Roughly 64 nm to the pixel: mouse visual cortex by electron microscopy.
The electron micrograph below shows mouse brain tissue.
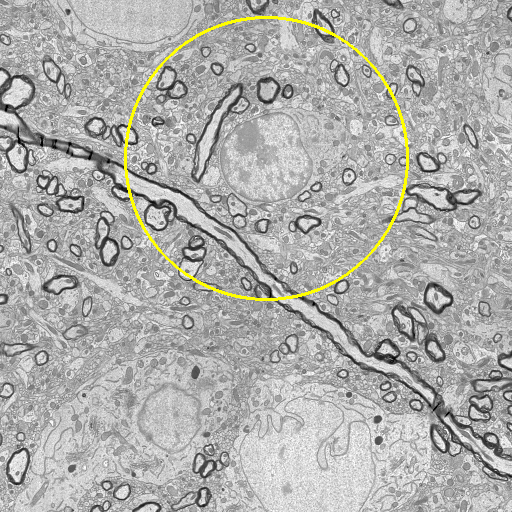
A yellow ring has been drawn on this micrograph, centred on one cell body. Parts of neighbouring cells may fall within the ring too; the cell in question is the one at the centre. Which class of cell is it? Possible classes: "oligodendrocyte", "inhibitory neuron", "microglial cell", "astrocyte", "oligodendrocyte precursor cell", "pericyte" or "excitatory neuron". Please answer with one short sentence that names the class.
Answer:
In the centre of the ring sits an oligodendrocyte.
